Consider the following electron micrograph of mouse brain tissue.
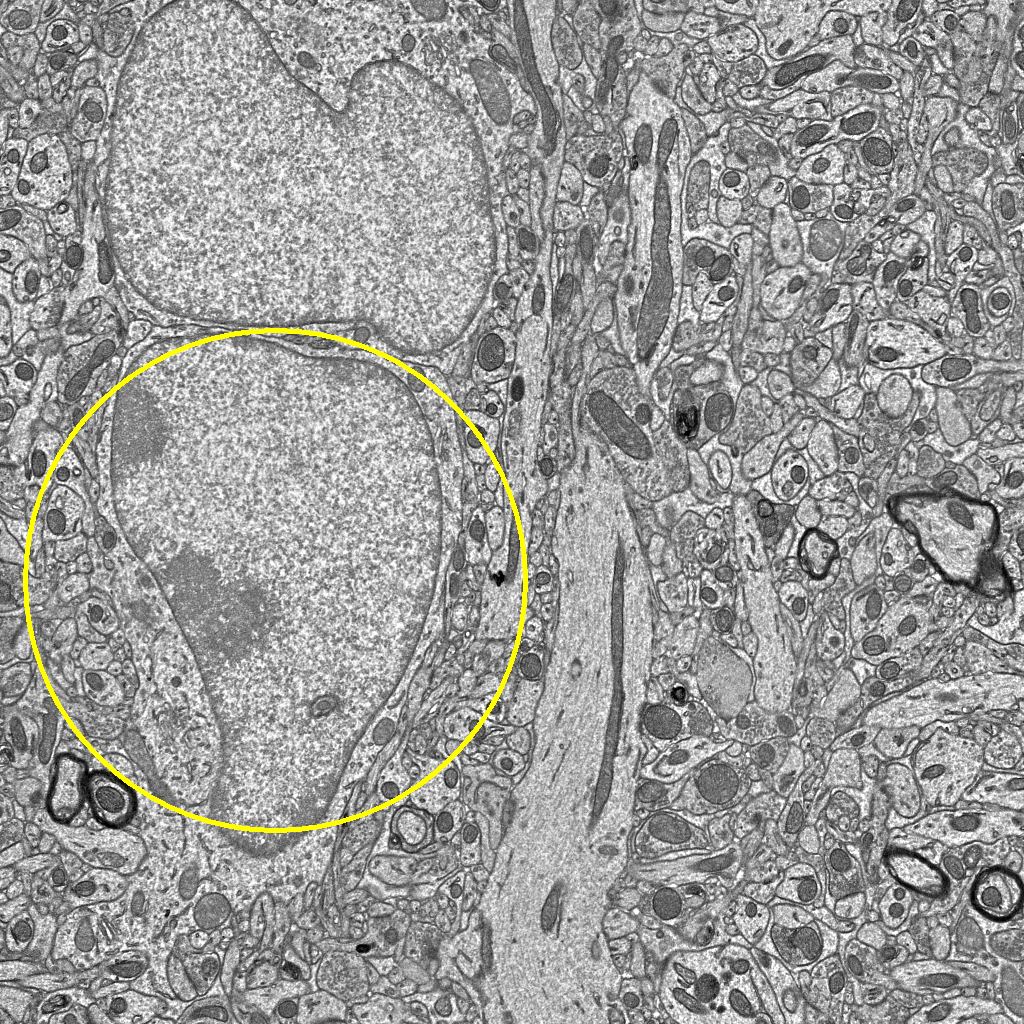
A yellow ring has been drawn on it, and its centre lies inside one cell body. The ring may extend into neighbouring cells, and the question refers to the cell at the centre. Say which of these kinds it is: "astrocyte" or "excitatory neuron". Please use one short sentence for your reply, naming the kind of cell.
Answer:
The centre of the ring falls on an astrocyte.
